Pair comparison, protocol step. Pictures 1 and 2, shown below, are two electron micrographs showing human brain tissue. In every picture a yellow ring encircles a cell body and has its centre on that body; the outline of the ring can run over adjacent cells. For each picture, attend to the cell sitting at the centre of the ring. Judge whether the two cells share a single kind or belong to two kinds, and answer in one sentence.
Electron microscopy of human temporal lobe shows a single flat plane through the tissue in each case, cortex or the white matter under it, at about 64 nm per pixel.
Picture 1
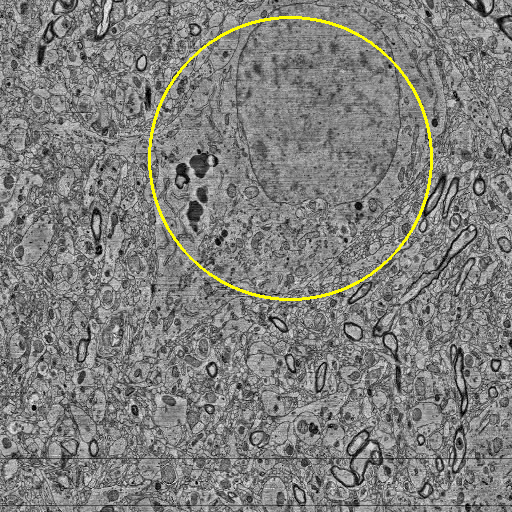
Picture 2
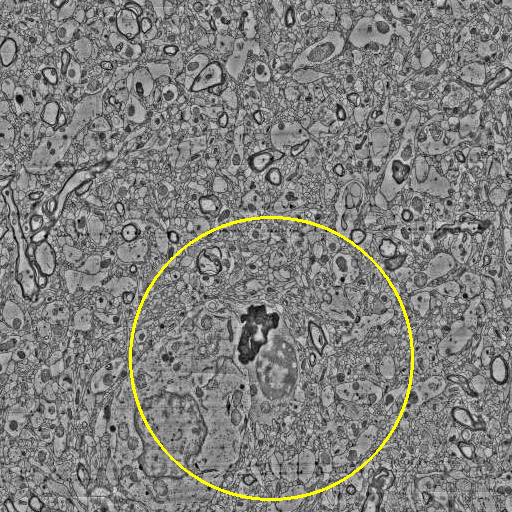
The two cells at the ring centres in Picture 1 and Picture 2 belong to two kinds.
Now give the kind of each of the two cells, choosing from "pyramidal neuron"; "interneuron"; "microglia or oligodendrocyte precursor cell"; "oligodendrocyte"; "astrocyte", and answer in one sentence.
The cell in the first picture is a pyramidal neuron, and the cell in the second is an oligodendrocyte.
